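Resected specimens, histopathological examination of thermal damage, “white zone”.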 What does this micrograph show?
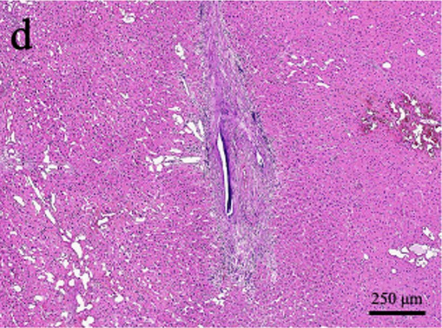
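Liver tissue at medium power, with sheets of pink-staining hepatocytes around a portal tract in the centre. The portal tract is an elongated, vertically running band of purple-blue fibrous tissue whose lumen is squeezed into a thin slit, so the tract looks crushed. The hepatocyte cords around it are pale pink with small dark nuclei, and between them run numerous clear white spaces, markedly widened in places, especially on the left. At the right edge a small collection of red blood cells lies within the tissue.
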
